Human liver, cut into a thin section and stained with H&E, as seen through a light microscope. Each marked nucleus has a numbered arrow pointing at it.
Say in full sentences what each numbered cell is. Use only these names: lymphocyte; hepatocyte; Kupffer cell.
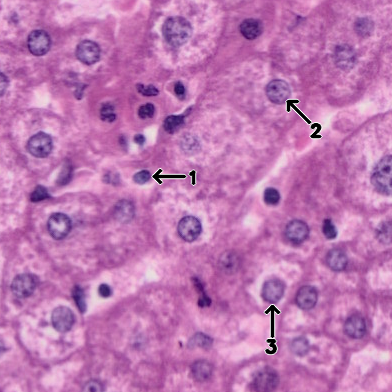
Cell 1 is a lymphocyte. Cells 2 and 3 are hepatocytes.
